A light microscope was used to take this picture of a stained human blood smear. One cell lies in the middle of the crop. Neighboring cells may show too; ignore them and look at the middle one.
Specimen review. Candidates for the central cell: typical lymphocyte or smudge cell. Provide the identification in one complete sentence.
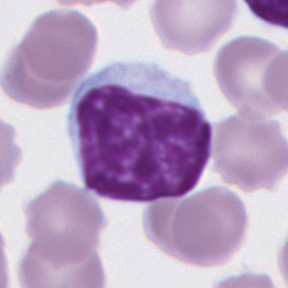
The cell marked by its central position in the crop is a typical lymphocyte.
